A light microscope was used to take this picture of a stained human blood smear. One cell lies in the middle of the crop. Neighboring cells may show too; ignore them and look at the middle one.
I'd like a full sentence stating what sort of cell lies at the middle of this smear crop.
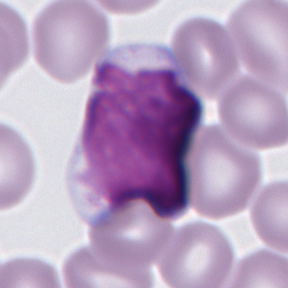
This crop is built around a large granular lymphocyte at its centre.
